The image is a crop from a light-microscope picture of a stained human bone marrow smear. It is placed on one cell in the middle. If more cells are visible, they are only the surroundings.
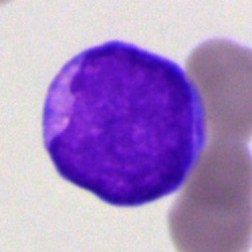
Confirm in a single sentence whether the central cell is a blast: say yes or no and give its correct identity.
Yes, the middle cell in this crop is a blast.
